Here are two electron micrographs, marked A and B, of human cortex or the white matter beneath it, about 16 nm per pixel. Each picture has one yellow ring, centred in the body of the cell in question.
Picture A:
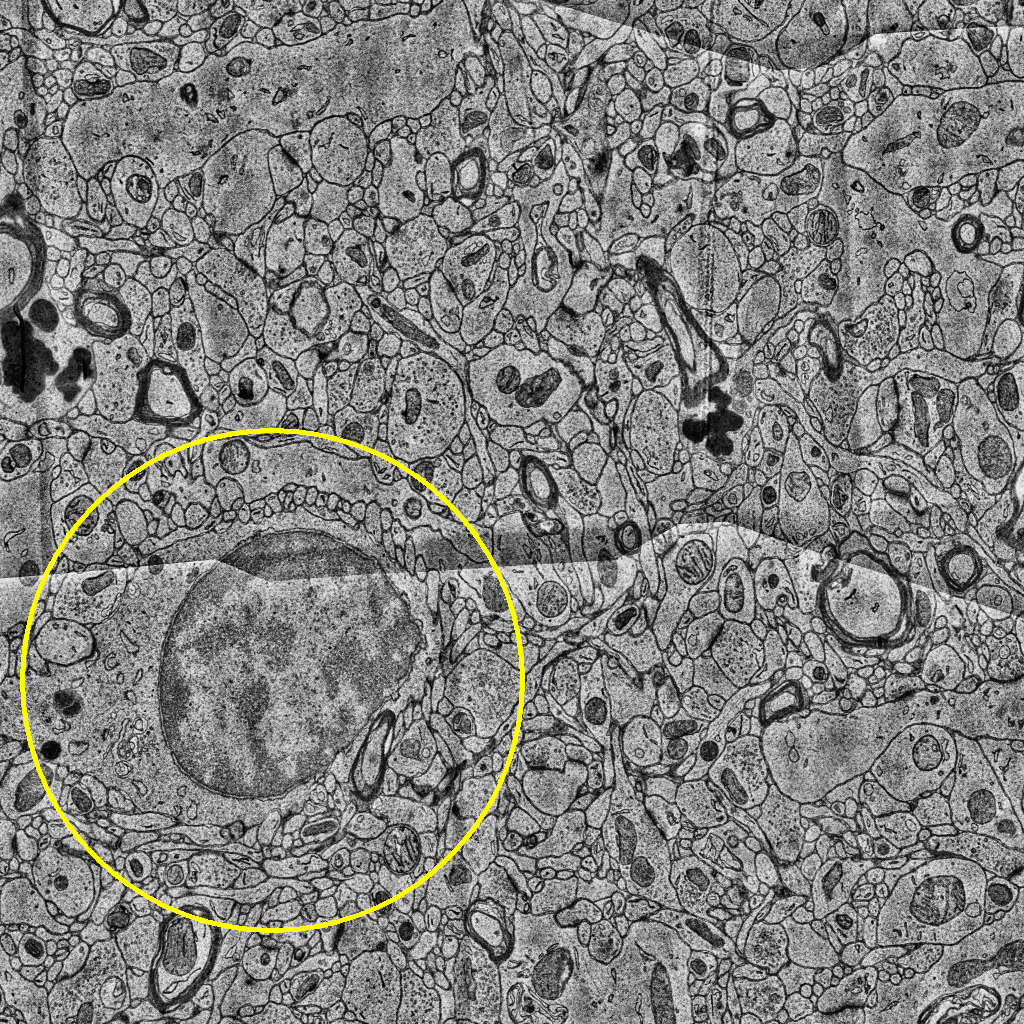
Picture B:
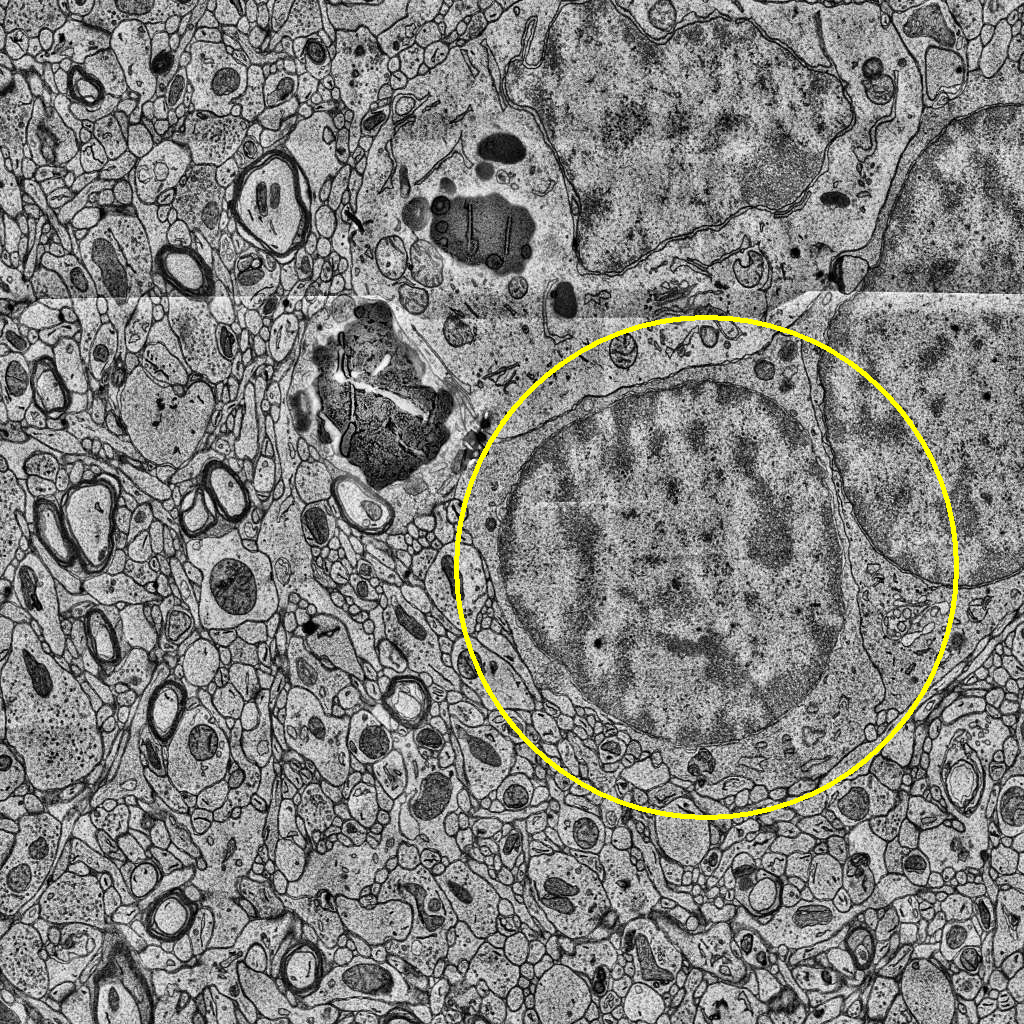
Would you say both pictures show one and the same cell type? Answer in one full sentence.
Yes, both cells are oligodendrocytes.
